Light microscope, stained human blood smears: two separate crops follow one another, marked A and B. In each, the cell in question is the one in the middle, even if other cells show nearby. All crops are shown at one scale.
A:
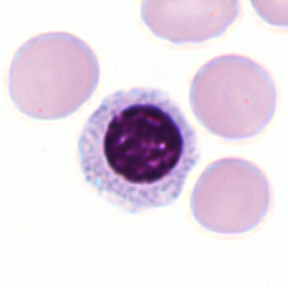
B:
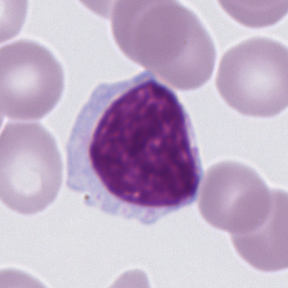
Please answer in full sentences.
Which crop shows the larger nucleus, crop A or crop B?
It is the nucleus in crop B, about 2 times as large in area as the one in crop A.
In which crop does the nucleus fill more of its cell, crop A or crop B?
In crop B the nucleus takes up the larger part of its cell.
